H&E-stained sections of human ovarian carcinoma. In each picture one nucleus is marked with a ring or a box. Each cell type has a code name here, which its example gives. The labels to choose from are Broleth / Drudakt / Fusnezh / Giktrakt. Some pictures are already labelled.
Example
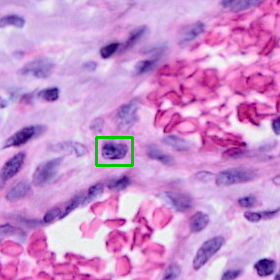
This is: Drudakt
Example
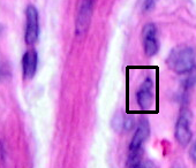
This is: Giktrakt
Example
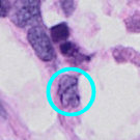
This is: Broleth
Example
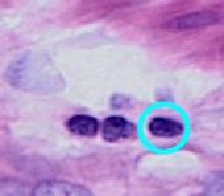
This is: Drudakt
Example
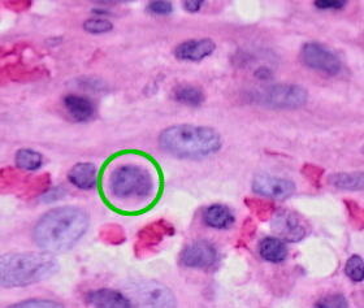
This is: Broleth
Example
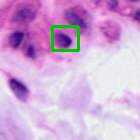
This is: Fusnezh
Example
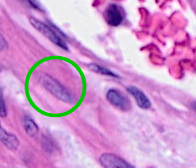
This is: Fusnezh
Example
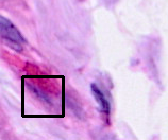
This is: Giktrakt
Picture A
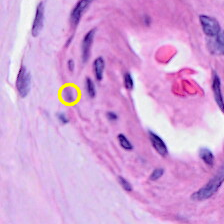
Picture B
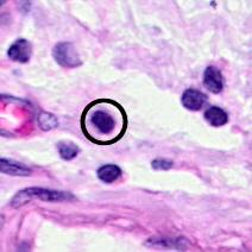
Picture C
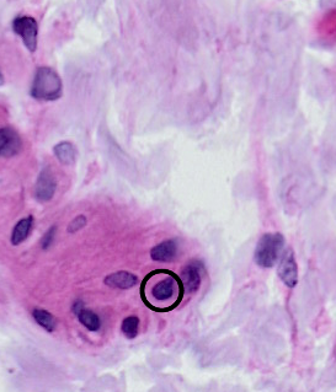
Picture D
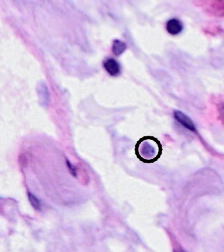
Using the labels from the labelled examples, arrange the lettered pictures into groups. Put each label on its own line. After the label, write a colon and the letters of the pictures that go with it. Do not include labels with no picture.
Drudakt: B, D
Fusnezh: A, C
